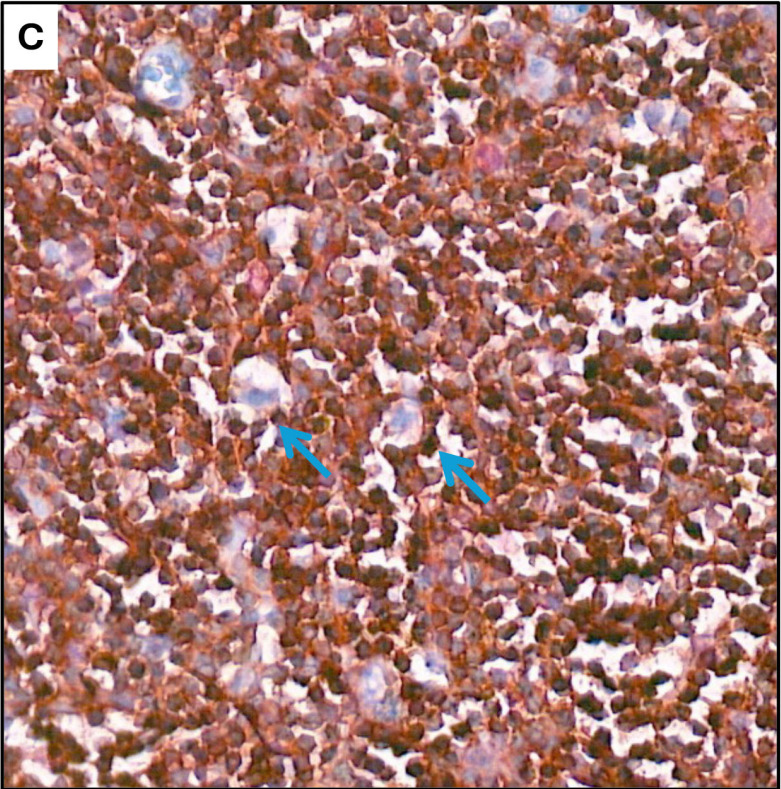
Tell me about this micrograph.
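This is a densely cellular lymphoid infiltrate made up mostly of small round lymphocytes stained brown to reddish, with scattered large cells standing out among them. The small lymphocytes have dark, round nuclei and a thin rim of brown-red stained cytoplasm and membrane, packed closely with narrow clear spaces between them.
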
